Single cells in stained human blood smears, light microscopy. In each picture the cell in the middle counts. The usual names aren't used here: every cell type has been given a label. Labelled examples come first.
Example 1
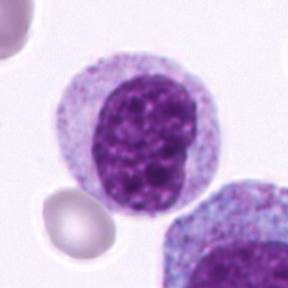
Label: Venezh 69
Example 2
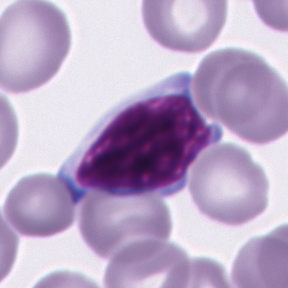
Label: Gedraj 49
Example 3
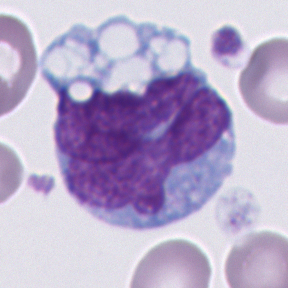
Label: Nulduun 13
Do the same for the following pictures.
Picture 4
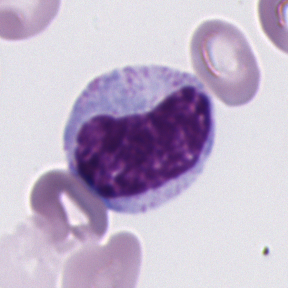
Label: Venezh 69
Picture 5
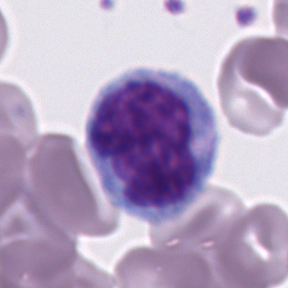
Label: Nulduun 13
